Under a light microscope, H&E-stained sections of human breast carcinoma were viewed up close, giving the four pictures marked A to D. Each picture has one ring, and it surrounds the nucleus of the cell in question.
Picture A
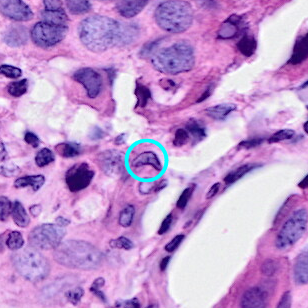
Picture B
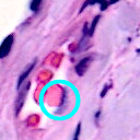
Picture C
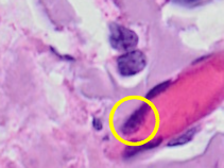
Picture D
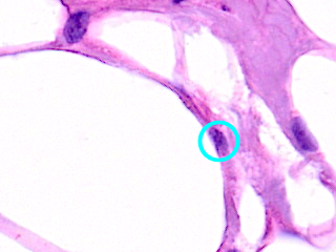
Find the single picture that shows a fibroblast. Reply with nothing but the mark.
D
